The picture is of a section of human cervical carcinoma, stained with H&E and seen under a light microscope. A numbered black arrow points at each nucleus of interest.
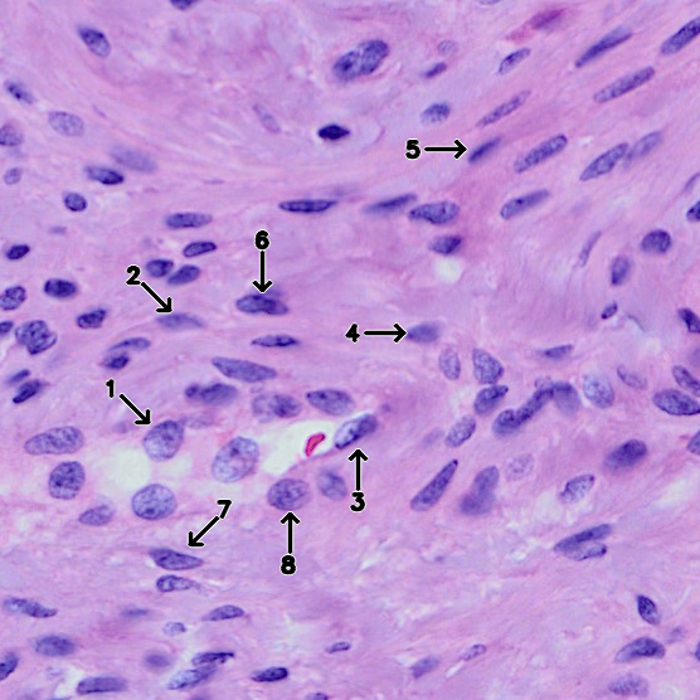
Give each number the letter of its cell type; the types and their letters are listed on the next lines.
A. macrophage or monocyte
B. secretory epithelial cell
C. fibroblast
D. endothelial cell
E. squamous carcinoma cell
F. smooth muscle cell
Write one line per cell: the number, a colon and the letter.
1: D
2: C
3: D
4: C
5: C
6: C
7: C
8: D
